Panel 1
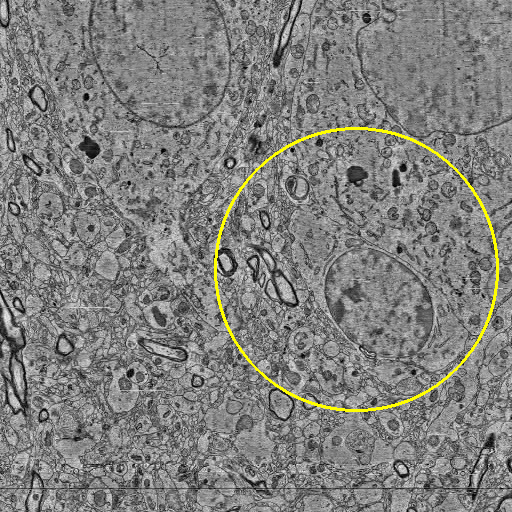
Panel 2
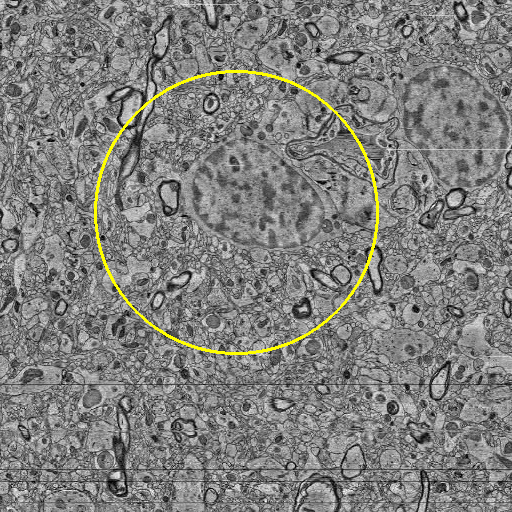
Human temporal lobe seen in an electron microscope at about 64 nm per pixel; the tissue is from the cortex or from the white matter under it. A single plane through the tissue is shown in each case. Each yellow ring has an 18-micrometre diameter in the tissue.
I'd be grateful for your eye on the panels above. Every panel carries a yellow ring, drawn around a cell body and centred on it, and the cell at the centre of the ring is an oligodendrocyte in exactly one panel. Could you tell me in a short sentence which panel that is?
Panel 2 is the one with it at the centre of the ring.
